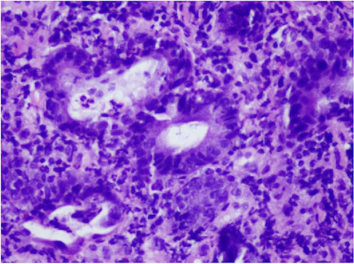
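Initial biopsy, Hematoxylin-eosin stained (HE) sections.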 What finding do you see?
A: Neutrophil infiltration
